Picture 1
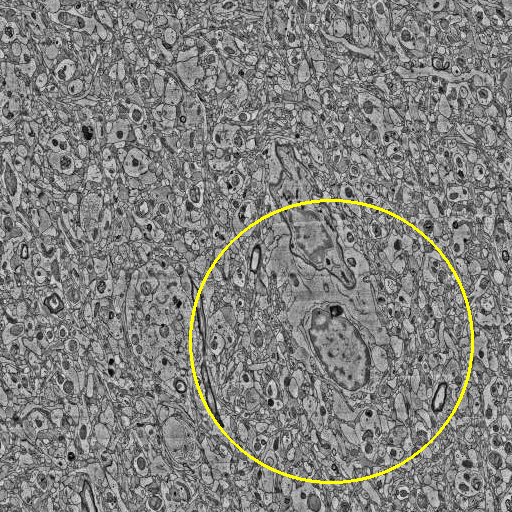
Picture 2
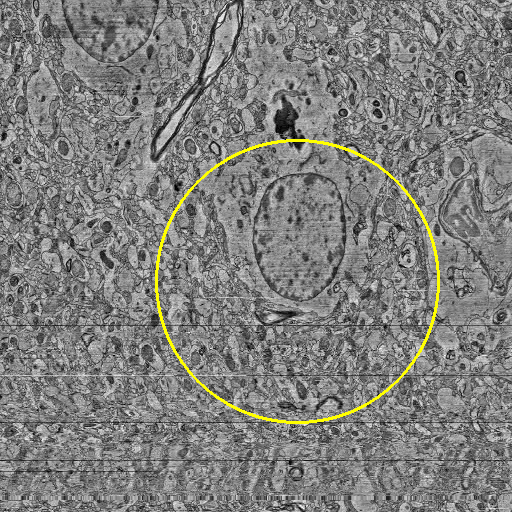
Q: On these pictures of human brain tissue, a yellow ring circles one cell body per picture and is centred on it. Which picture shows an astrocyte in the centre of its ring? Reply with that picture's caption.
Picture 2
